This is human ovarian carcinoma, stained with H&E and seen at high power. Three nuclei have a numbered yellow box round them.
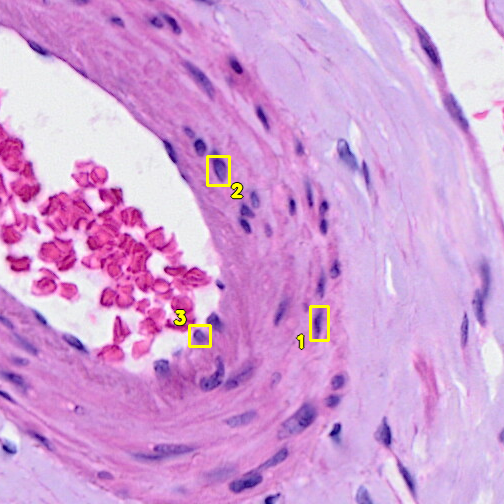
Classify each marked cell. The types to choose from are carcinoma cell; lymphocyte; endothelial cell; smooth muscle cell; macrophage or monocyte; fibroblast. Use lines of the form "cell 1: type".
cell 1: smooth muscle cell
cell 2: smooth muscle cell
cell 3: endothelial cell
